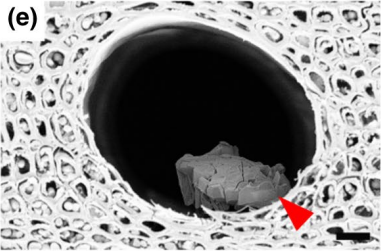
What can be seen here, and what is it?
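A single wide, oval opening fills the centre, surrounded by many small, thick-walled cells cut across like a honeycomb. The opening is a vessel of the xylem, its lumen dark and mostly empty. At its lower edge lies a small blocky solid with flat, angular faces and cracks on its surface. This angular body is a small crystal lodged in the vessel, leaving most of the lumen open. The small surrounding cells with thick walls are the fibres and parenchyma of the wood.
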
